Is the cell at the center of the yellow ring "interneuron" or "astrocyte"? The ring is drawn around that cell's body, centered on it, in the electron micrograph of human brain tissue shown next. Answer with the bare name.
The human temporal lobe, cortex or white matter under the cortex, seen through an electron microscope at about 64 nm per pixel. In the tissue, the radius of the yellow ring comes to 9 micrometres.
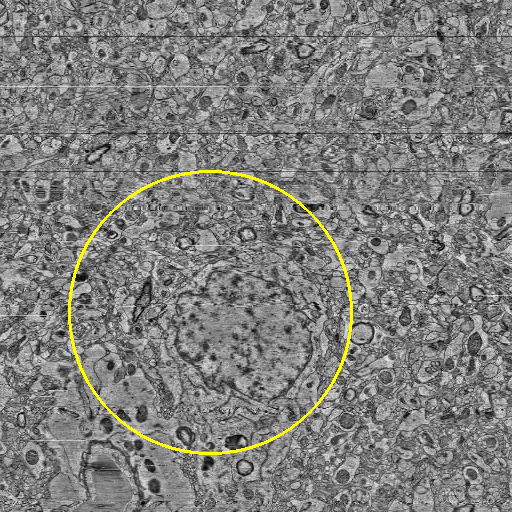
interneuron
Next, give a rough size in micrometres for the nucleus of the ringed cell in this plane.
The nucleus is approximately 9 micrometers across in this plane.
